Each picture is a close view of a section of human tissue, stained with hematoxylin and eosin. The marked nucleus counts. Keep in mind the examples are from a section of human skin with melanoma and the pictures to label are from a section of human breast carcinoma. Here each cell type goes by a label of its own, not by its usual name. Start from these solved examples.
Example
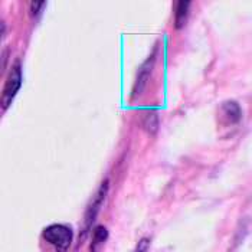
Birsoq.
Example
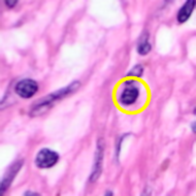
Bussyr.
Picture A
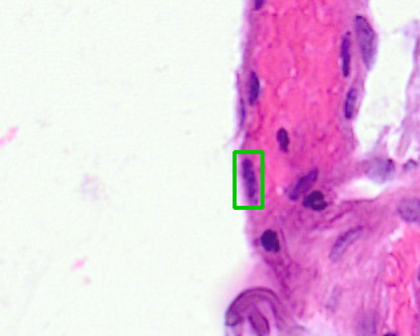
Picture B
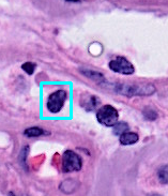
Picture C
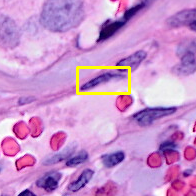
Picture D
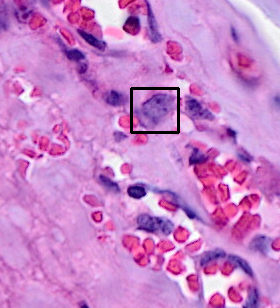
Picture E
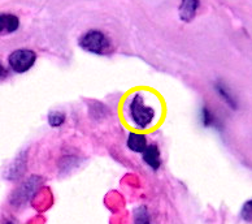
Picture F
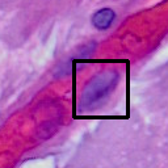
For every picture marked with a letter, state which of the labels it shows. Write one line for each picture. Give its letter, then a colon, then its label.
A: Birsoq.
B: Bussyr.
C: Birsoq.
D: Birsoq.
E: Bussyr.
F: Birsoq.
